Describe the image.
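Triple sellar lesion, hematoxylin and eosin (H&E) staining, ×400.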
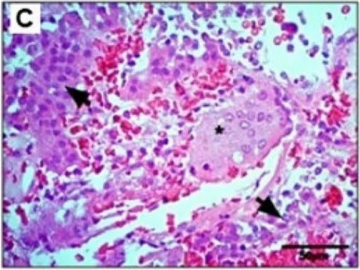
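This field shows foreign-body-type giant multinucleated cells lying next to clusters of neoplastic cells. In the center there is a large pink giant cell that holds several nuclei and small clear vacuoles. Around it are nests of crowded cells with round purple nuclei and purplish cytoplasm. Many red blood cells are scattered between these elements.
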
